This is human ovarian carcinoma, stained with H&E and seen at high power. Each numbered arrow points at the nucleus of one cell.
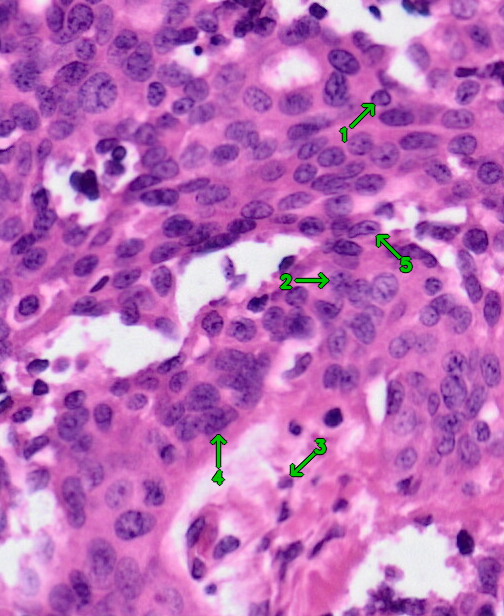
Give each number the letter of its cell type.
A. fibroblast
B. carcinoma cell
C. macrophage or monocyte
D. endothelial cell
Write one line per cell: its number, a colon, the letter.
1: C
2: B
3: A
4: B
5: C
